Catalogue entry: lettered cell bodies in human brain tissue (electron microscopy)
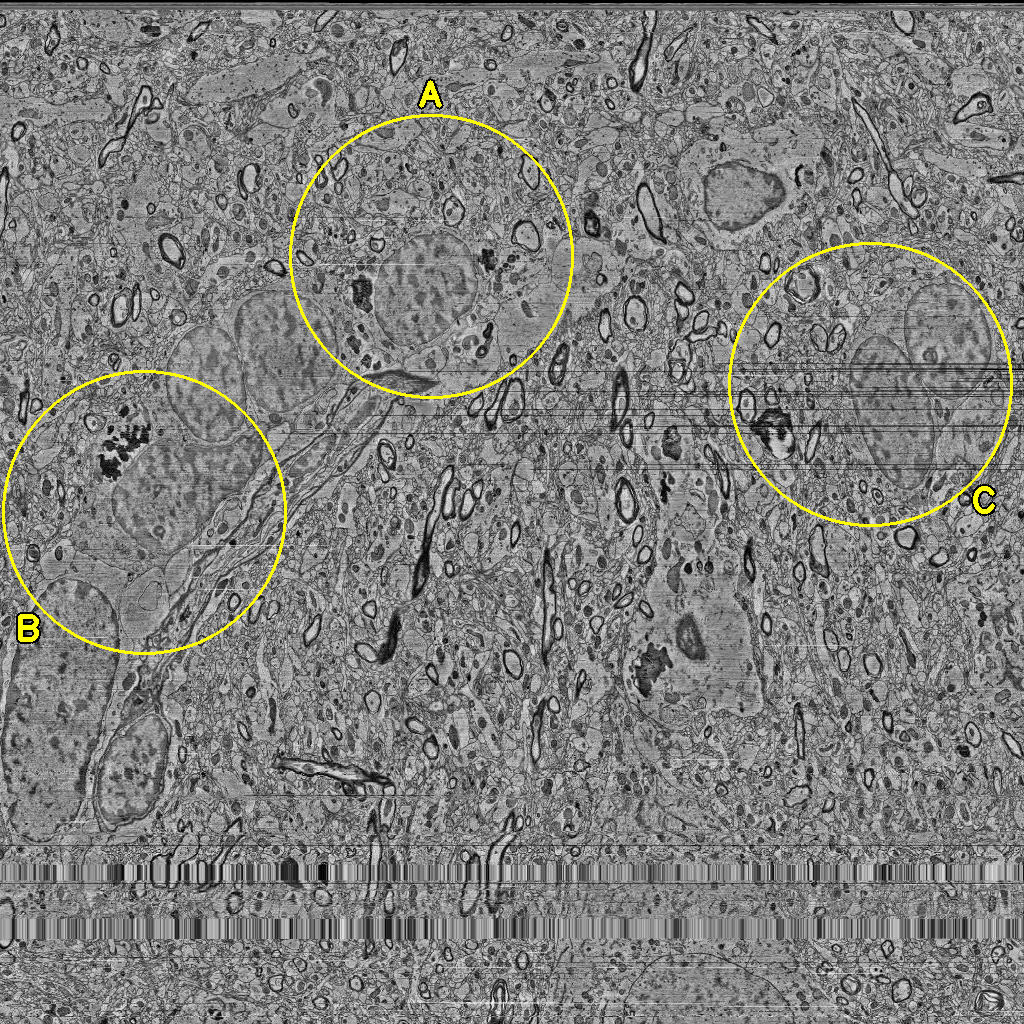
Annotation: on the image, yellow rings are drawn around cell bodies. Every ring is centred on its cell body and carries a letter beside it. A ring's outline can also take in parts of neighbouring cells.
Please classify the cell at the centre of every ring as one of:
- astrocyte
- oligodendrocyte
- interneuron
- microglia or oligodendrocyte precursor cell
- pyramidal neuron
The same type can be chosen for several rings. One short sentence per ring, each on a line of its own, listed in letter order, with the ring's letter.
Ring A is classified as an oligodendrocyte.
Ring B is classified as an oligodendrocyte.
Ring C is classified as an oligodendrocyte.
